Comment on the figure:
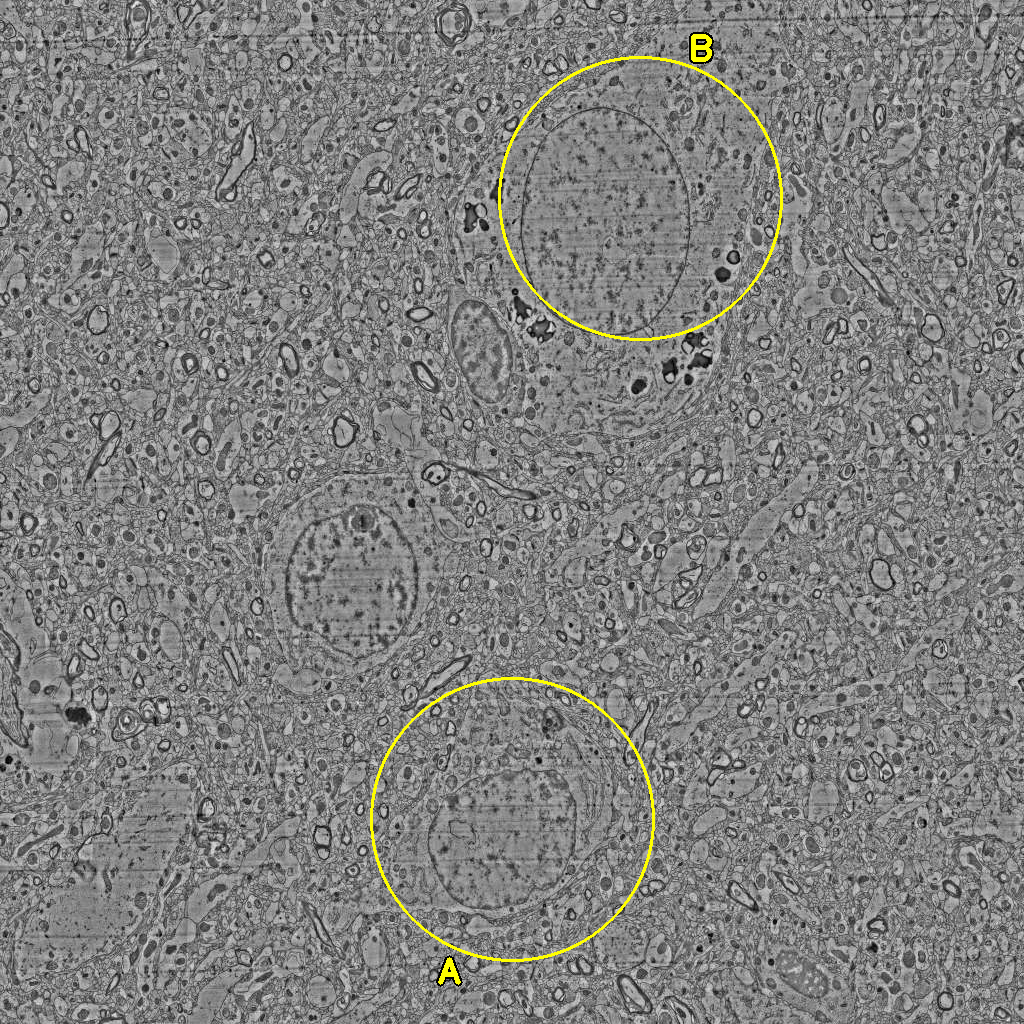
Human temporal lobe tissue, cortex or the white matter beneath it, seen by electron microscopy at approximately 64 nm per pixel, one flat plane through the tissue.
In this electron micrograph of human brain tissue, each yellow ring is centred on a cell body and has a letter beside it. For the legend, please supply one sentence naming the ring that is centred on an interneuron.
Ring A is centred on that cell.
